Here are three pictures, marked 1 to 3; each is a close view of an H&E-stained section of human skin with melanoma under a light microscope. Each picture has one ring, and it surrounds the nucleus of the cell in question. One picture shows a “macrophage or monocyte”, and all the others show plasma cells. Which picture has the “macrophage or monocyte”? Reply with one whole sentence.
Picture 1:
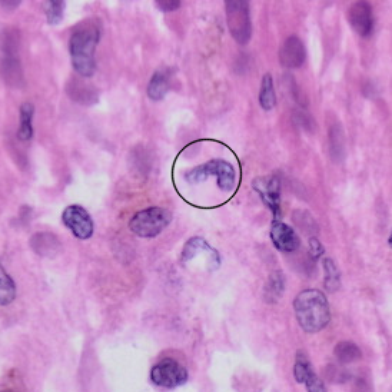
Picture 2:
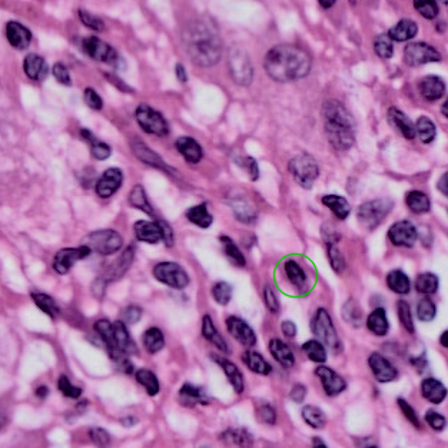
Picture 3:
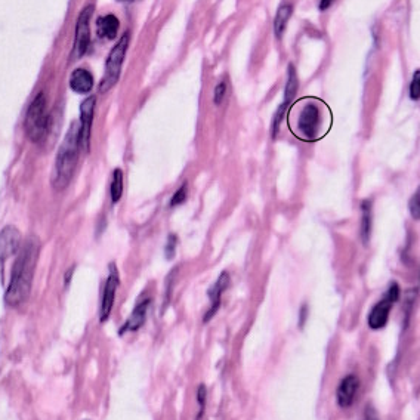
It is picture 1 that shows the “macrophage or monocyte”.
